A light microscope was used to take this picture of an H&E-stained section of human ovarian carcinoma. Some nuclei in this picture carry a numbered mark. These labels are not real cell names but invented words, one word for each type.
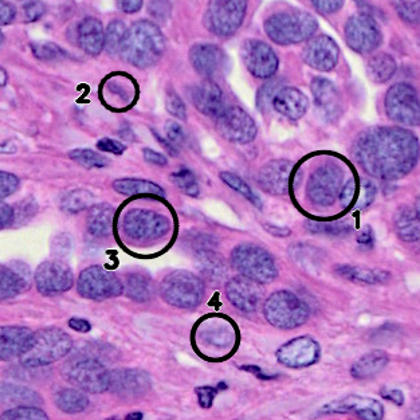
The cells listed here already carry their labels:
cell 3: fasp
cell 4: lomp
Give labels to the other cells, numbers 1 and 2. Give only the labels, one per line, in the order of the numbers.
fasp
lomp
